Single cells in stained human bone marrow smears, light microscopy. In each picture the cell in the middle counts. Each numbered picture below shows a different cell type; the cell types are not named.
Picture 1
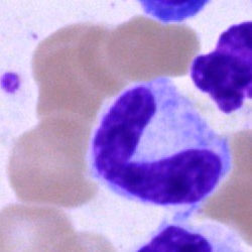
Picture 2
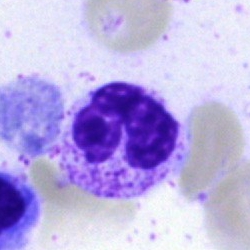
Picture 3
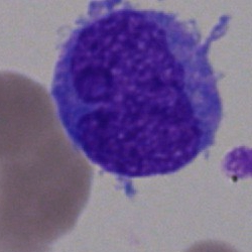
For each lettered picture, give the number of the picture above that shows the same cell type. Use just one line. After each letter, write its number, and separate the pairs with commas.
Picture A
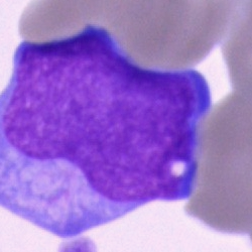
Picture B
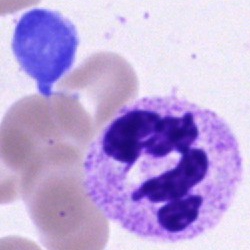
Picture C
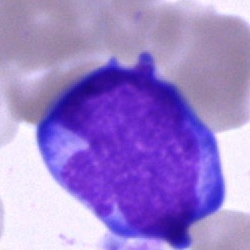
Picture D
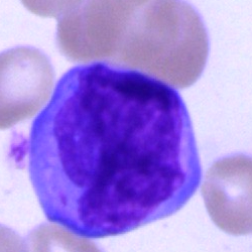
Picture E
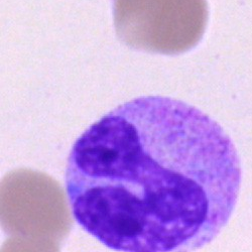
A 3, B 2, C 3, D 3, E 1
